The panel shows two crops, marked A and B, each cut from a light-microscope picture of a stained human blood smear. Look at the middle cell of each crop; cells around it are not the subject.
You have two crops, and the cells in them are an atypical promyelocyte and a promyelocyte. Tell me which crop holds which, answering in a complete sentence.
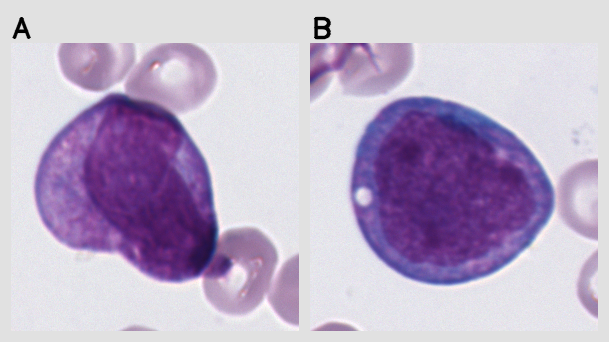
For crop A the cell is an atypical promyelocyte, and for crop B it is a promyelocyte.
